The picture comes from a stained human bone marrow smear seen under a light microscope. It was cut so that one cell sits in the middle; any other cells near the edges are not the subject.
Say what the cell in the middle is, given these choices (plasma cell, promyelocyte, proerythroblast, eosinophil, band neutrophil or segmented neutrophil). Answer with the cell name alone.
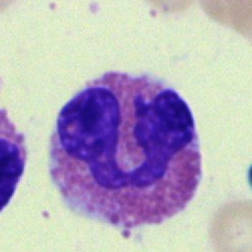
eosinophil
